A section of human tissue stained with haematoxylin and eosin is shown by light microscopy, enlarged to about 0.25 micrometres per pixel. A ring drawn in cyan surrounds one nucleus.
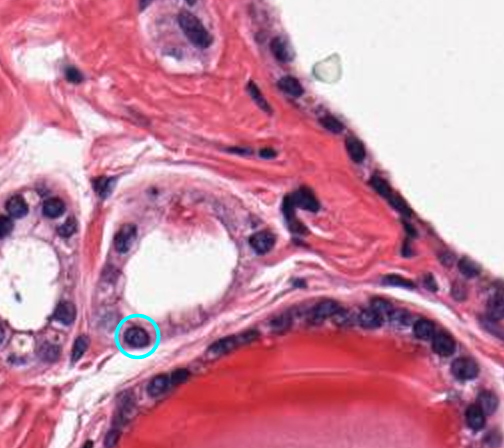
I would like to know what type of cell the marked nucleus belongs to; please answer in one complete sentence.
Within the picture, the marked nucleus belongs to a thyroid follicular cell.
